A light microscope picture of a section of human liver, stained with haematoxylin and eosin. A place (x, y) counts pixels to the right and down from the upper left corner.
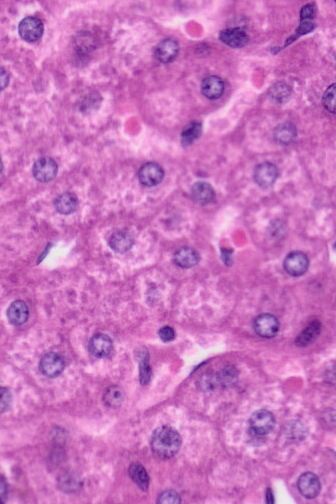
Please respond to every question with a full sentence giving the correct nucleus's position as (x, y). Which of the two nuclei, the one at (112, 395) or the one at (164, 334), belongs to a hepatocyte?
The pair contains one nucleus of a hepatocyte, namely the one at (112, 395).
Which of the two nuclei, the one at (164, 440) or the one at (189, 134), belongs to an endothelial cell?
Of the two nuclei, the one at (189, 134) belongs to an endothelial cell.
